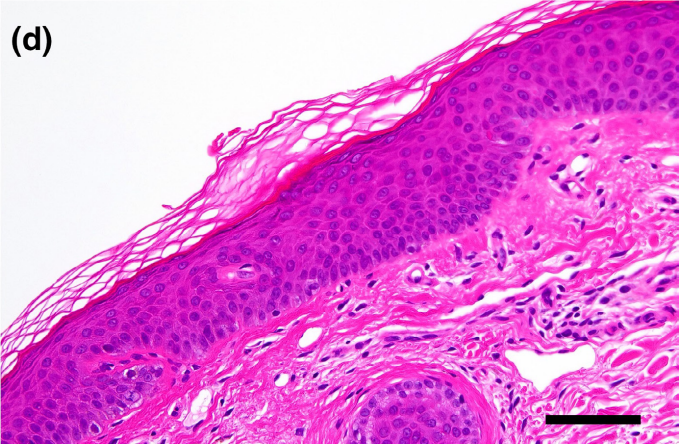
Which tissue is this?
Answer: Normal skin.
